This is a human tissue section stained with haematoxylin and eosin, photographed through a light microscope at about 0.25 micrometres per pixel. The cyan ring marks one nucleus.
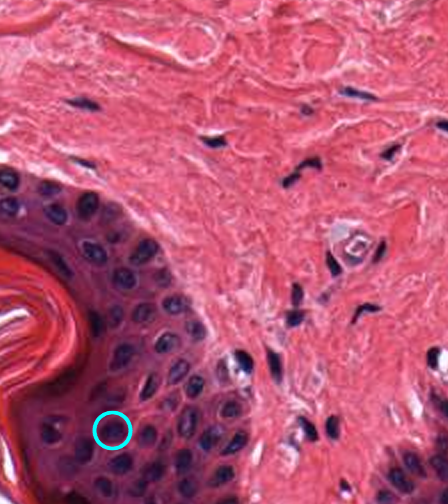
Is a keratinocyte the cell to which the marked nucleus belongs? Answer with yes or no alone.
yes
